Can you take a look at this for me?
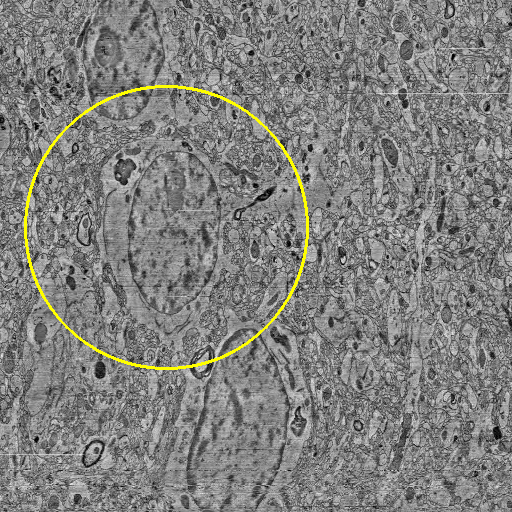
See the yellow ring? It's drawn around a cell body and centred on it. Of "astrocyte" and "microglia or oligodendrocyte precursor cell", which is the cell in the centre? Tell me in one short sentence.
The one in the centre is an astrocyte.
